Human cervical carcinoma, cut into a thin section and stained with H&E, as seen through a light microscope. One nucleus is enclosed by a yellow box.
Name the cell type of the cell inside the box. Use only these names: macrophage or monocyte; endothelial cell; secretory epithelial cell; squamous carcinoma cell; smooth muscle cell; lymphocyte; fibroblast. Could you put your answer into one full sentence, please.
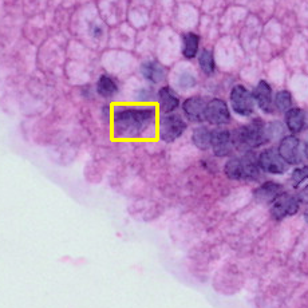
In the tissue under study, the cell inside the box is a secretory epithelial cell.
